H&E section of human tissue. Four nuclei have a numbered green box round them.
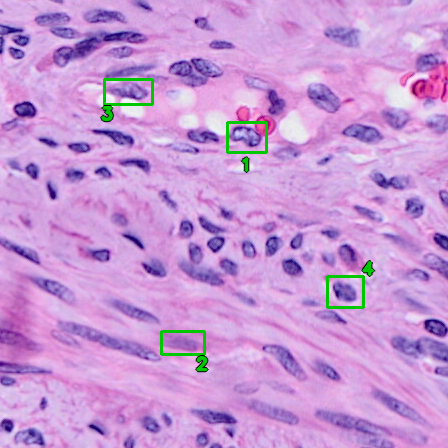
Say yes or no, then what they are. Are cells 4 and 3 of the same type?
No, cell 4 is a lymphocyte and cell 3 is an endothelial cell.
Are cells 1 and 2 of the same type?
No, cell 1 is an endothelial cell and cell 2 is a smooth muscle cell.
